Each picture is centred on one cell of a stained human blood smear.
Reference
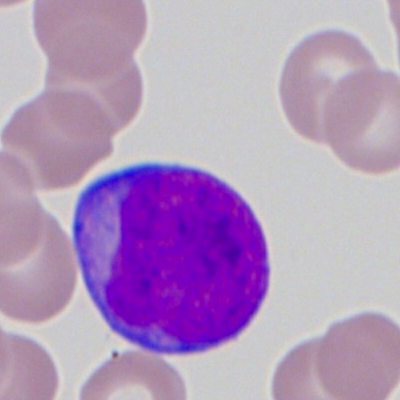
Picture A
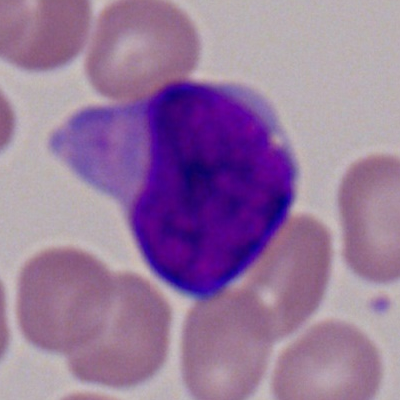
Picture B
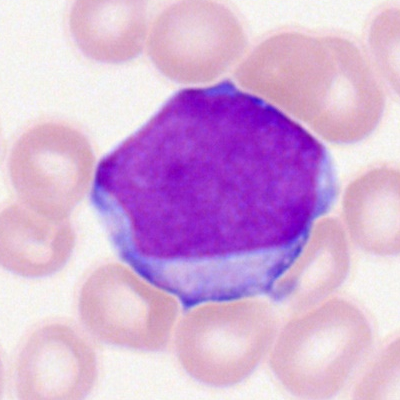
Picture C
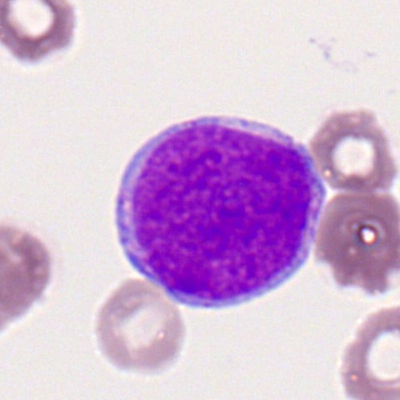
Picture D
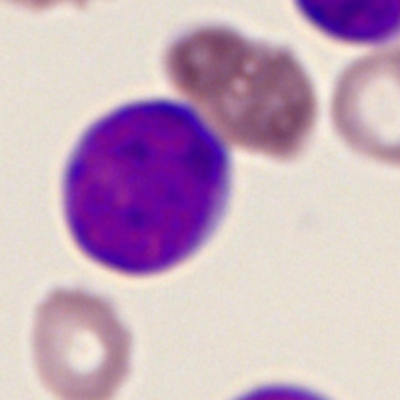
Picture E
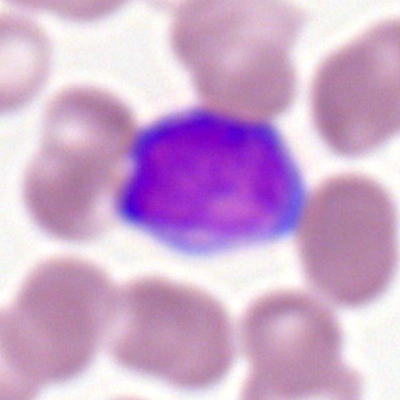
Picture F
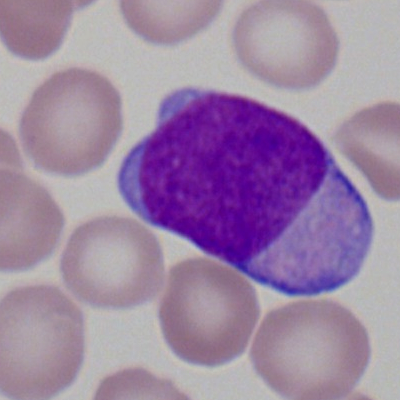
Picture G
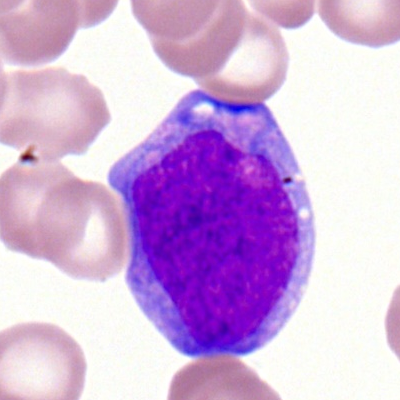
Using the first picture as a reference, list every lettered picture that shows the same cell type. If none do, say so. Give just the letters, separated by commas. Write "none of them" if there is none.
A, B, C, D, E, F, G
